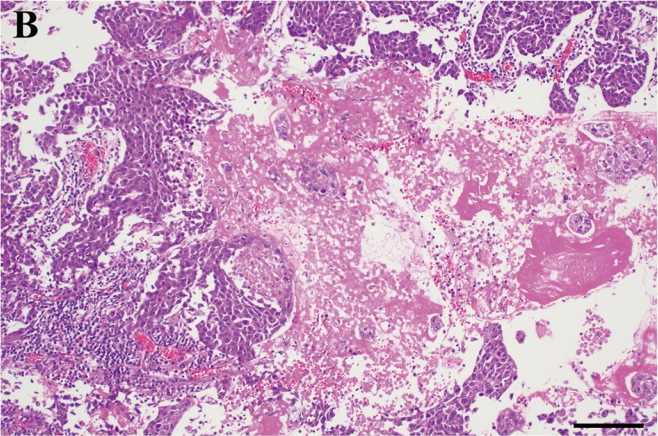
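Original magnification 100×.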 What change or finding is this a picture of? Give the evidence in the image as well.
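A central pink, amorphous area with scattered nuclear debris. Dense purple nests of viable tumor cells surround the pale pink area.
Necrosis.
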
